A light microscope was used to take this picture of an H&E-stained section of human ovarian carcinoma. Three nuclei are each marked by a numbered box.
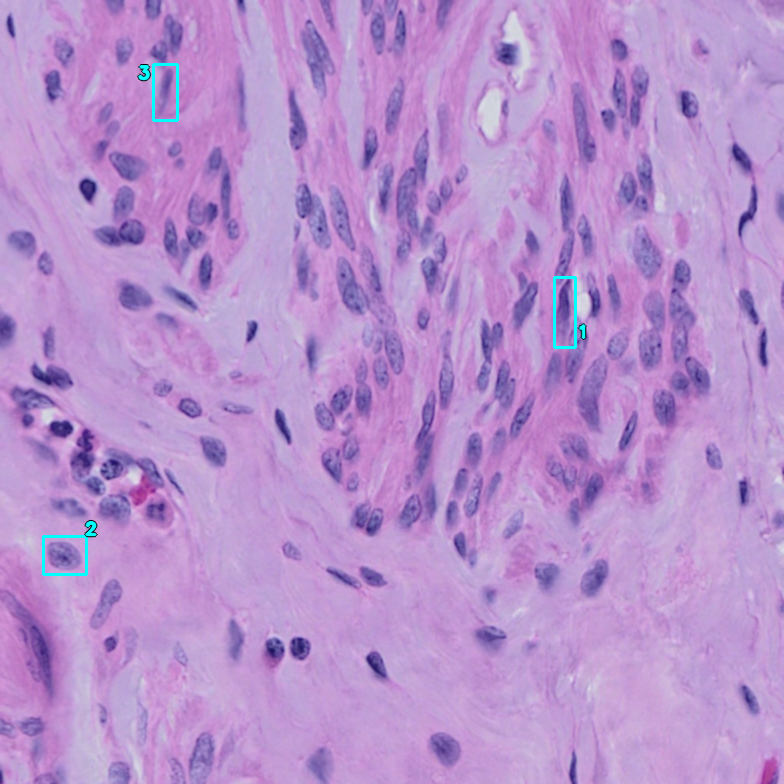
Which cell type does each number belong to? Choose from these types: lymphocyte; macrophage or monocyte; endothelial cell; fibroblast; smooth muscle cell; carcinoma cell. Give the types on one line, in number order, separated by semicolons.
smooth muscle cell; fibroblast; smooth muscle cell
